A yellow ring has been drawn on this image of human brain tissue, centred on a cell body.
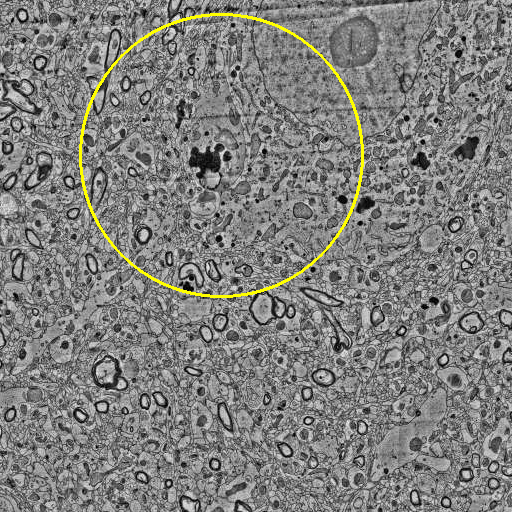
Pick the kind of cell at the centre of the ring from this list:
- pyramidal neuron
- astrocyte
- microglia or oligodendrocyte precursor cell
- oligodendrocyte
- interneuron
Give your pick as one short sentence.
The centre of the ring holds a microglial cell or oligodendrocyte precursor cell.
